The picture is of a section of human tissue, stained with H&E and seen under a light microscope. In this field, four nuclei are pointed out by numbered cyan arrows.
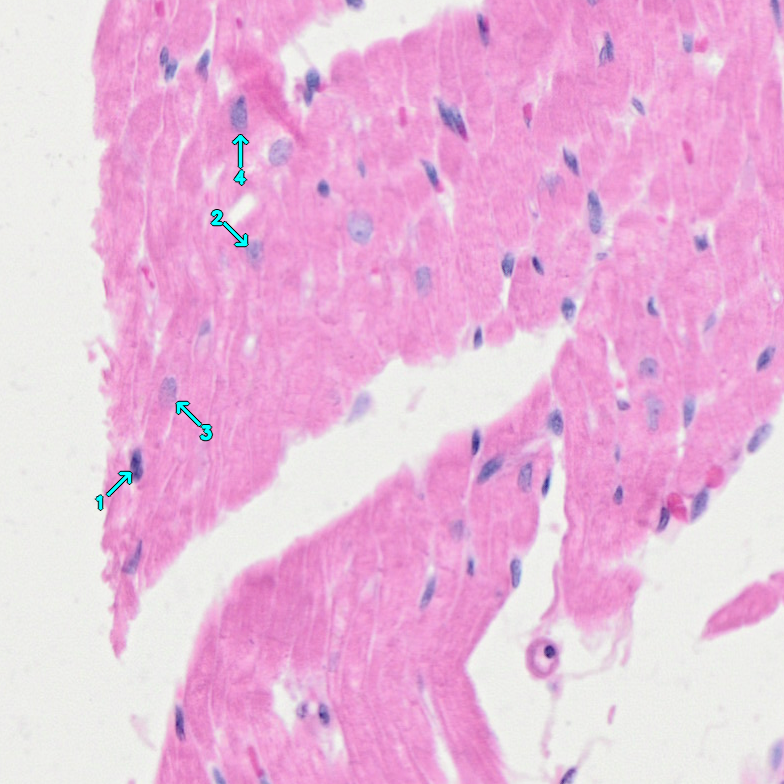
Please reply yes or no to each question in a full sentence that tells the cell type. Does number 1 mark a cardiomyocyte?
No, what is marked as number 1 is an endothelial cell rather than a cardiomyocyte.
